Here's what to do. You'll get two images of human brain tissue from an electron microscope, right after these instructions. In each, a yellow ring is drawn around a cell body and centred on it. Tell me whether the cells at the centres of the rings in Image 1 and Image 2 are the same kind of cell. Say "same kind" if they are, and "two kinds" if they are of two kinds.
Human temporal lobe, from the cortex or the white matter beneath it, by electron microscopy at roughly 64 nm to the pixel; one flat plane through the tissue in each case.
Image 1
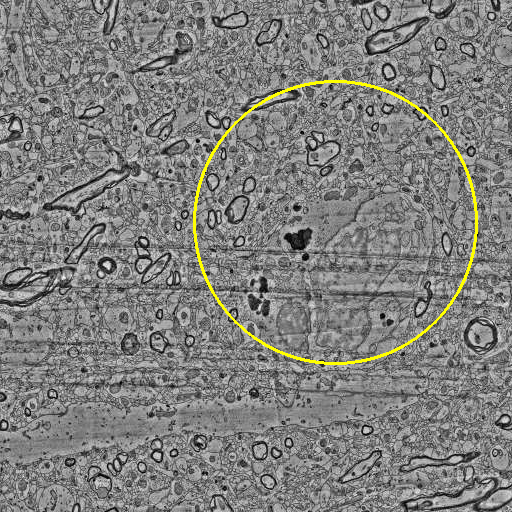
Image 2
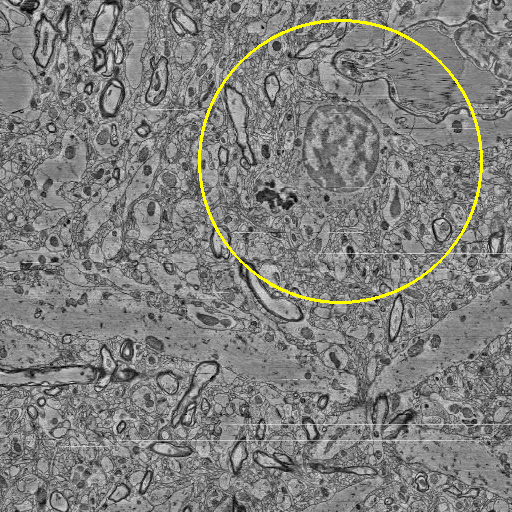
same kind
